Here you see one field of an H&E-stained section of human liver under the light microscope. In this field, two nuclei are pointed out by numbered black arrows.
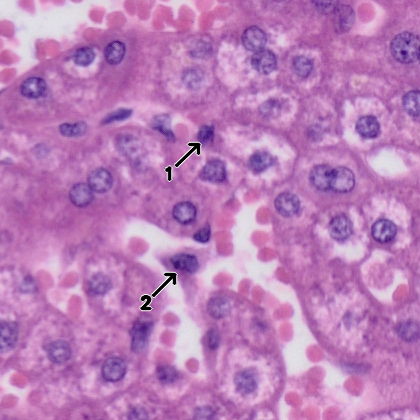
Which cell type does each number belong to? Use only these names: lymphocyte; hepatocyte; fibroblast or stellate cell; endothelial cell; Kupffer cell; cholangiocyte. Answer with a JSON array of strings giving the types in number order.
["fibroblast or stellate cell", "Kupffer cell"]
